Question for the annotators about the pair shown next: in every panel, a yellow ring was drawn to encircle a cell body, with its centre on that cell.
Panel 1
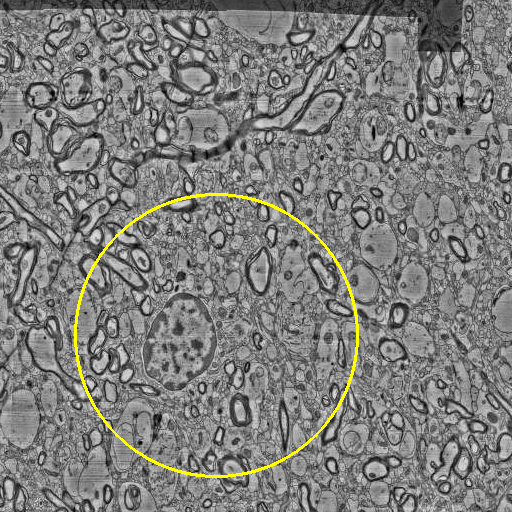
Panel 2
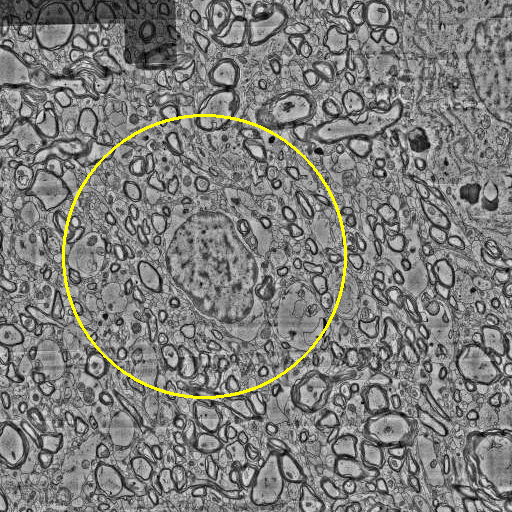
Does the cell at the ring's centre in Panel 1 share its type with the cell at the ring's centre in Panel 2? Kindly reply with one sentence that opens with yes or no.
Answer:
Yes, in Panels 1 and 2 the cells at the ring centres belong to a single type.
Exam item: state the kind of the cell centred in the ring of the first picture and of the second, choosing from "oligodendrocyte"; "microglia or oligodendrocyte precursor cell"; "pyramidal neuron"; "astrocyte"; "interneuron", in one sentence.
Each of the two cells is a microglial cell or oligodendrocyte precursor cell.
